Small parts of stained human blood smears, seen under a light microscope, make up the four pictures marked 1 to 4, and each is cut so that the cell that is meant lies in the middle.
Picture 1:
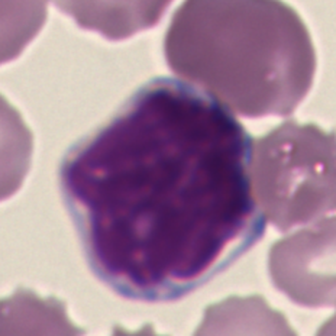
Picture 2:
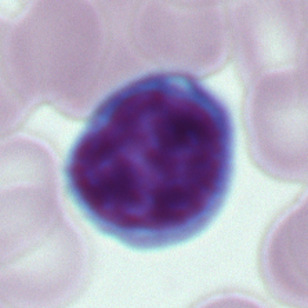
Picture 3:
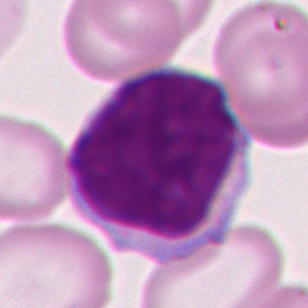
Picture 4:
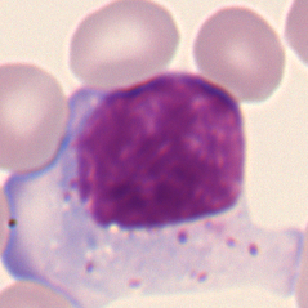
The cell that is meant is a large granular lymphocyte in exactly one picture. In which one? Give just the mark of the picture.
4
